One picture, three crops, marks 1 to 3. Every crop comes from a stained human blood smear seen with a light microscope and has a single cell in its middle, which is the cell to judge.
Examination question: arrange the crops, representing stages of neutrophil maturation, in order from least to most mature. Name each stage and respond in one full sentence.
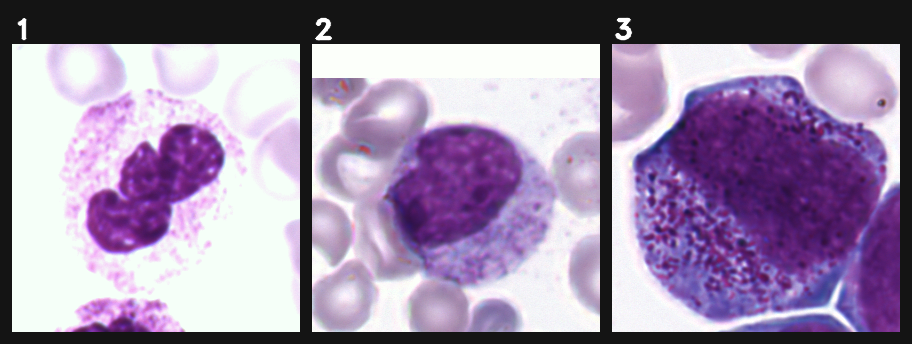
Ordered least to most mature, the series reads crop 3 (a promyelocyte), crop 2 (a myelocyte) and crop 1 (a segmented neutrophil).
